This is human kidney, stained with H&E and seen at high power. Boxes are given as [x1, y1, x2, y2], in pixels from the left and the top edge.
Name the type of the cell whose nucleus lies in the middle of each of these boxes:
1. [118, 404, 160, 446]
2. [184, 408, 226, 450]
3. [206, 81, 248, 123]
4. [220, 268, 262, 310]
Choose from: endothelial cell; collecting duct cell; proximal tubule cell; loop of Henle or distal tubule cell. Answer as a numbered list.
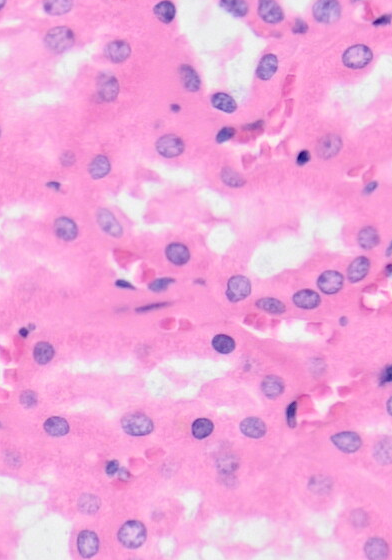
1. proximal tubule cell
2. proximal tubule cell
3. loop of Henle or distal tubule cell
4. proximal tubule cell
